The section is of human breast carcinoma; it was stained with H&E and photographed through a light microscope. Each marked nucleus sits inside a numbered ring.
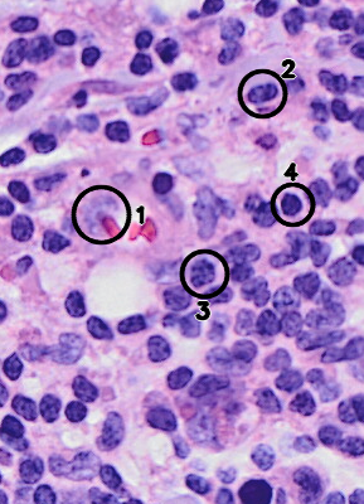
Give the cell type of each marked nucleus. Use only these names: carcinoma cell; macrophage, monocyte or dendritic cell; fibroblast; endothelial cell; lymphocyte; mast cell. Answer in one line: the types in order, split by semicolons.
endothelial cell; lymphocyte; lymphocyte; lymphocyte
